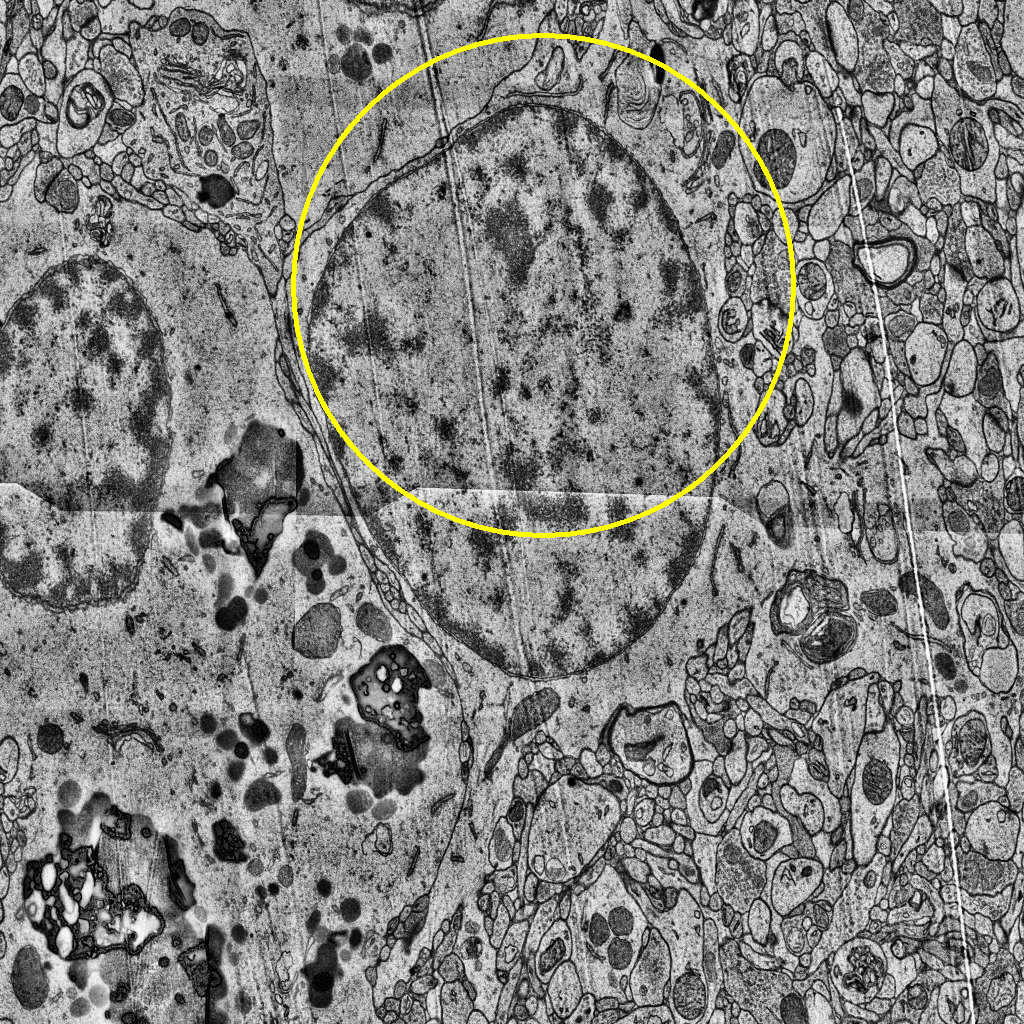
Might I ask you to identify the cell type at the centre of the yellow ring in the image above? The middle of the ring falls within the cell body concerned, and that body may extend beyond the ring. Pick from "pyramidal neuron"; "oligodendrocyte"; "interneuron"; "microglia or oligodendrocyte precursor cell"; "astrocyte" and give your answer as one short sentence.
The centre of the ring falls on an astrocyte.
